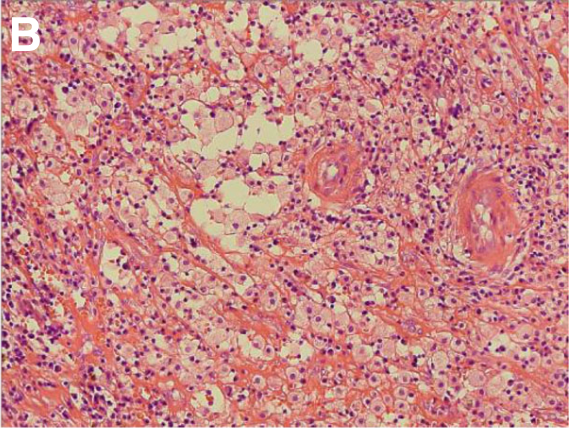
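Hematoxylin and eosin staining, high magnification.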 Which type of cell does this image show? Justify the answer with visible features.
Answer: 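Many large cells with pale, foamy, vacuolated cytoplasm. Numerous small round cells with dark compact nuclei scattered among them. On this evidence: lymphocytes and macrophages.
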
